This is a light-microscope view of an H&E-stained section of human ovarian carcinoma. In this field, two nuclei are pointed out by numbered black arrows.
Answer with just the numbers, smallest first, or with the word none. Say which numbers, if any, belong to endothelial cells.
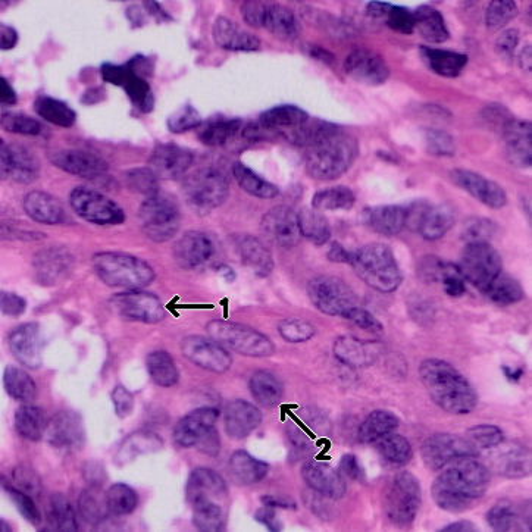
1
